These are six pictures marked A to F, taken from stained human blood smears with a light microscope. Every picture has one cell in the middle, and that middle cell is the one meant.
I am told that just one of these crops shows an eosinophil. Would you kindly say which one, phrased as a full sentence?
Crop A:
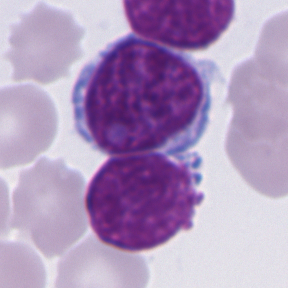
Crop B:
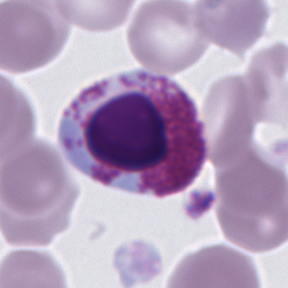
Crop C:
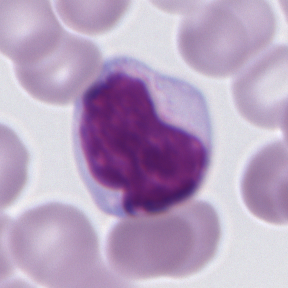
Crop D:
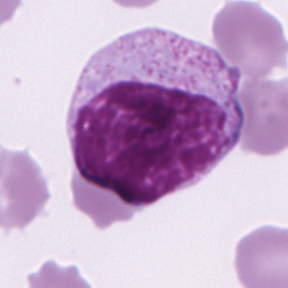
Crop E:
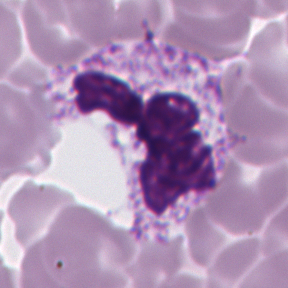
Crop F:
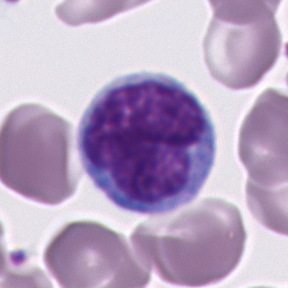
Crop B is the one depicting an eosinophil.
